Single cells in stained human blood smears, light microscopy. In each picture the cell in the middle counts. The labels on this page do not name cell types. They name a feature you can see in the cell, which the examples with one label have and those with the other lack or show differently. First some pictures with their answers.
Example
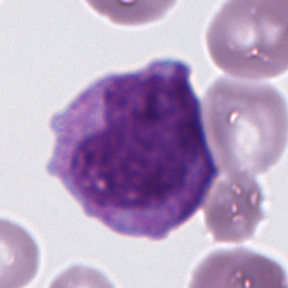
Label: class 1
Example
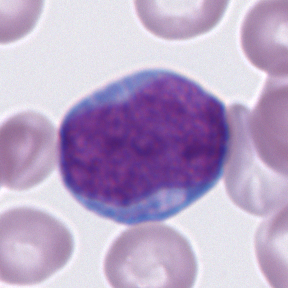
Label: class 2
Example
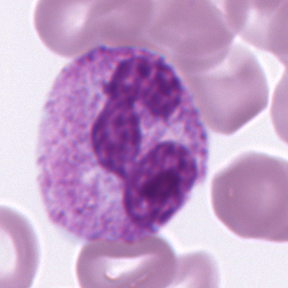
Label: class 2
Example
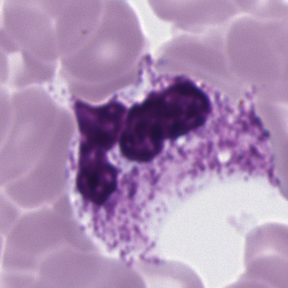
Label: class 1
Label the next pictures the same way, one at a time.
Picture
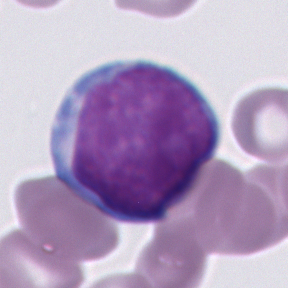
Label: class 2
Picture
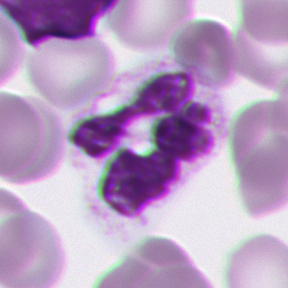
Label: class 1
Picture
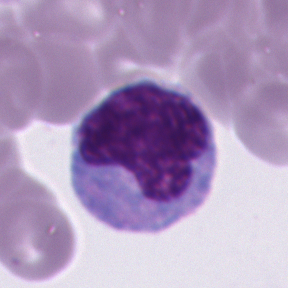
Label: class 2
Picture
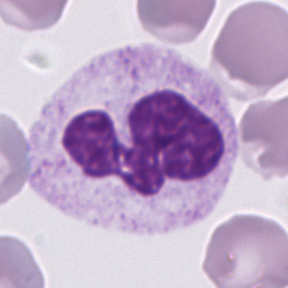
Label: class 2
